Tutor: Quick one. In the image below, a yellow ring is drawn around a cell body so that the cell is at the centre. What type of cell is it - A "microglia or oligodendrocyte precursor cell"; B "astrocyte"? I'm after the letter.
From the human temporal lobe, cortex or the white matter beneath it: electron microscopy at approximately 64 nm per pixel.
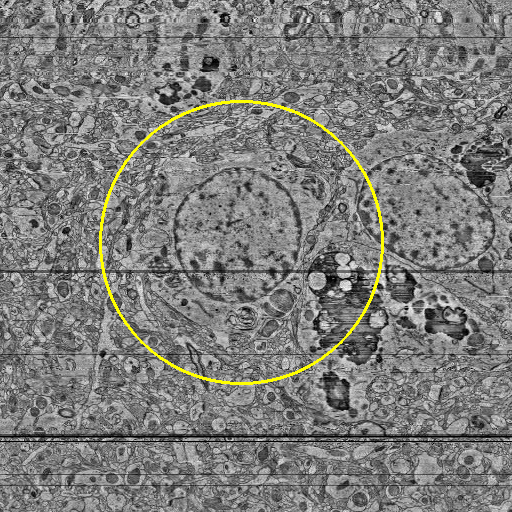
B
